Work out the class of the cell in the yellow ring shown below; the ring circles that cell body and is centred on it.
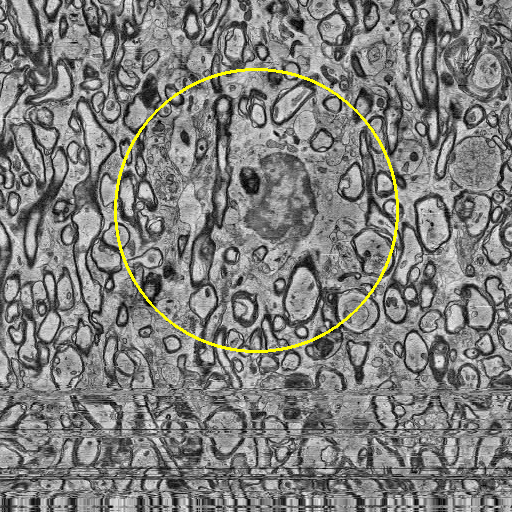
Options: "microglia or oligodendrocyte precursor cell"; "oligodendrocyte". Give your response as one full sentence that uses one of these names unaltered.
The body ringed in yellow, right at the ring's centre, is that of a microglial cell or oligodendrocyte precursor cell.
